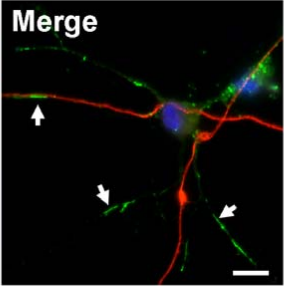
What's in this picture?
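Cultured neurons with a cell body giving rise to long, thin neurites. A blue nucleus lies in the cell body.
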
